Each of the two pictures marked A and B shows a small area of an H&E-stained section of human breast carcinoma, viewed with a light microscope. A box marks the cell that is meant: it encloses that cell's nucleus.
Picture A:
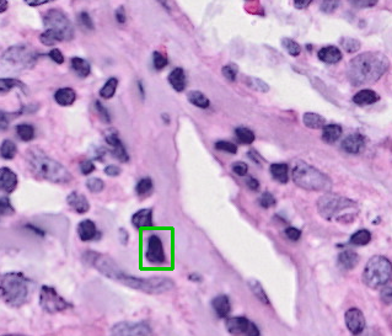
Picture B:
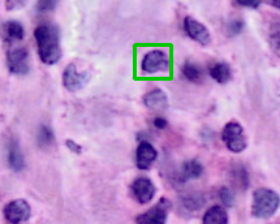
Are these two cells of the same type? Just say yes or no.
yes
